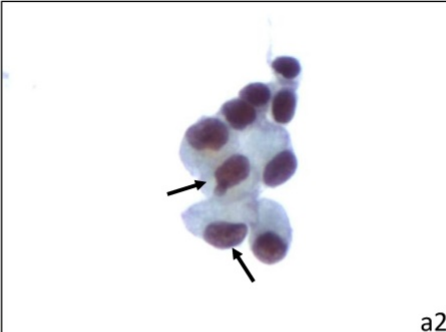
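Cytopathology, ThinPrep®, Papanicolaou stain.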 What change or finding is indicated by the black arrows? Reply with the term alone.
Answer: slightly irregular nuclei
